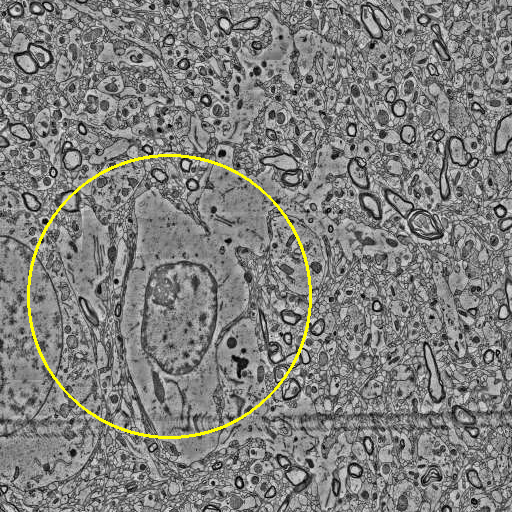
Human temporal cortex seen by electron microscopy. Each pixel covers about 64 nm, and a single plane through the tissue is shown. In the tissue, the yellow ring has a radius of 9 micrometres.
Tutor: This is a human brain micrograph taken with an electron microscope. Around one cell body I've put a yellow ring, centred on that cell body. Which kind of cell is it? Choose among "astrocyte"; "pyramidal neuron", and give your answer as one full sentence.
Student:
Going by your list, the cell centred in the yellow ring is an astrocyte.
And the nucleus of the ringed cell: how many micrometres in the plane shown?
In this plane the nucleus is clearly longer than it is wide: roughly 7 by 5 micrometres.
